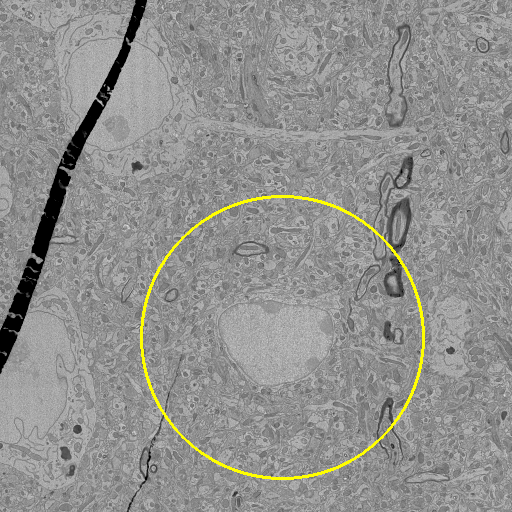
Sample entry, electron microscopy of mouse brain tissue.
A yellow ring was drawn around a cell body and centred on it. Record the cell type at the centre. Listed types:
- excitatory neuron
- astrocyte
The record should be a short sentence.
The cell at the ring's centre is an astrocyte.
